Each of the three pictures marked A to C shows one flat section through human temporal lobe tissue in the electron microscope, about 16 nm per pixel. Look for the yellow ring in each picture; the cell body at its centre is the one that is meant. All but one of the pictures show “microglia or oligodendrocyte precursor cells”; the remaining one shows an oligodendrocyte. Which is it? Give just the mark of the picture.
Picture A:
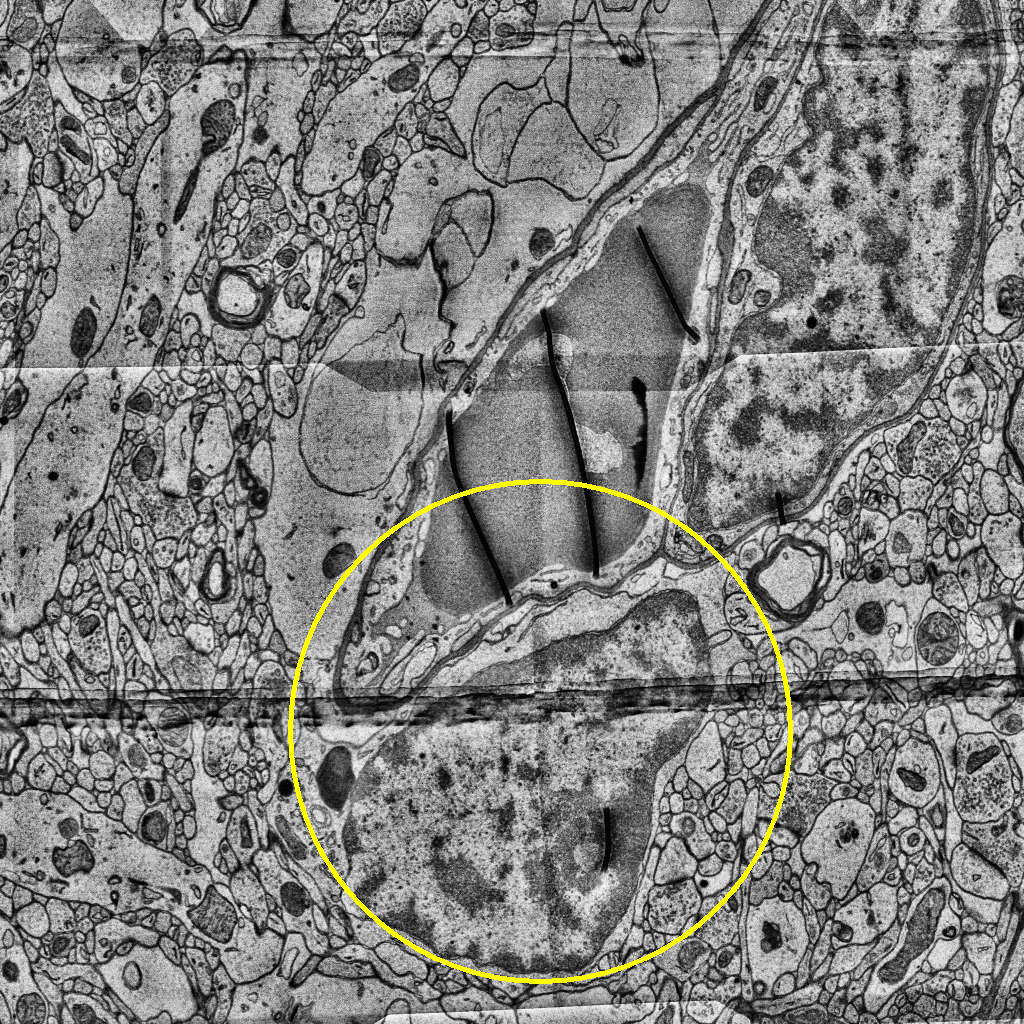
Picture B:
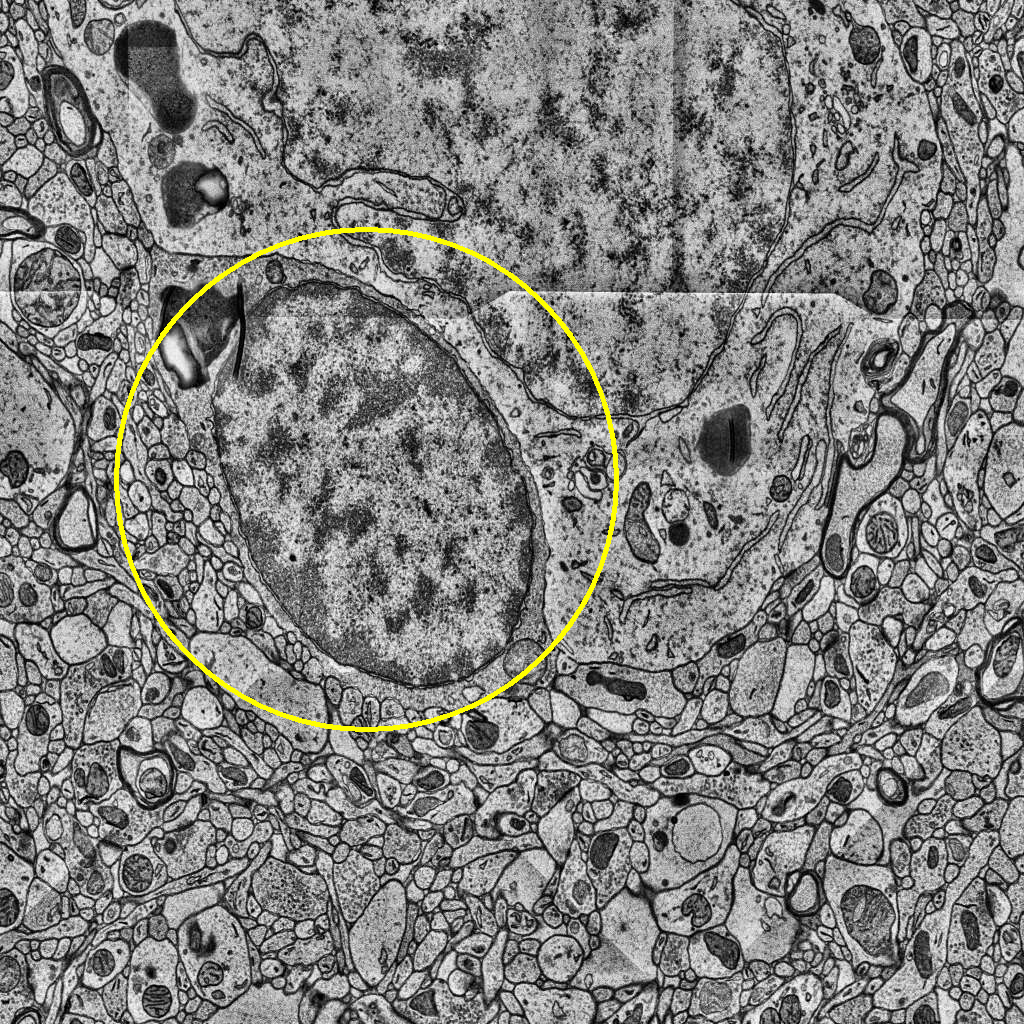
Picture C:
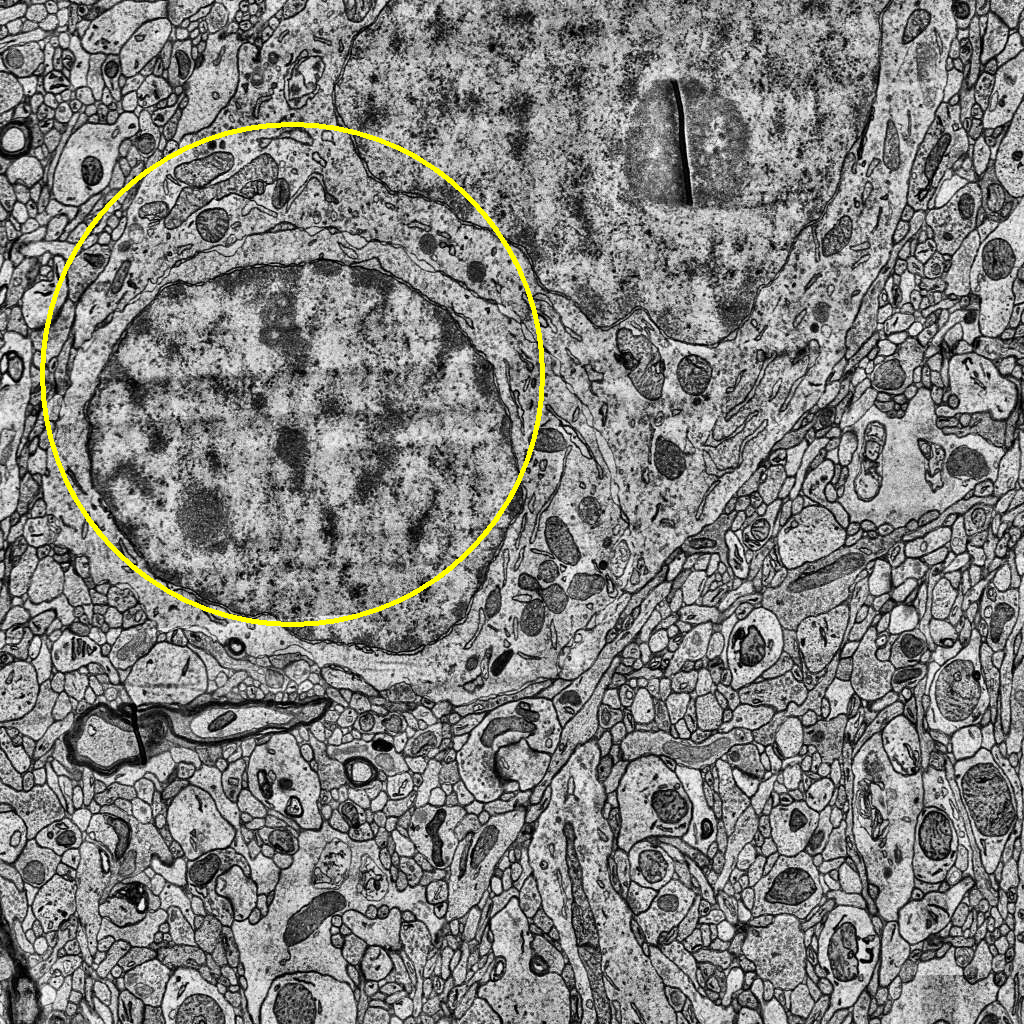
B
